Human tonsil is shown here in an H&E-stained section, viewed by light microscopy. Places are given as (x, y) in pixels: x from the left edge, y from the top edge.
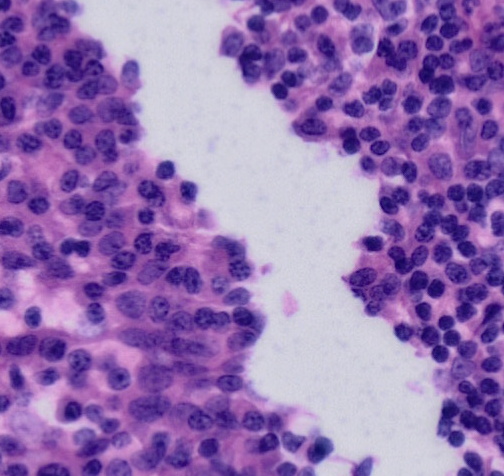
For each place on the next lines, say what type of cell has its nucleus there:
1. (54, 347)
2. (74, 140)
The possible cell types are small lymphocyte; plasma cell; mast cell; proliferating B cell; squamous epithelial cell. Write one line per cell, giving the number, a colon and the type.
1: squamous epithelial cell
2: plasma cell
